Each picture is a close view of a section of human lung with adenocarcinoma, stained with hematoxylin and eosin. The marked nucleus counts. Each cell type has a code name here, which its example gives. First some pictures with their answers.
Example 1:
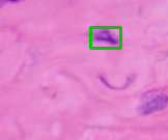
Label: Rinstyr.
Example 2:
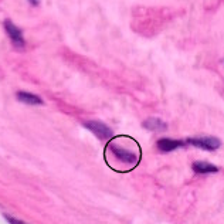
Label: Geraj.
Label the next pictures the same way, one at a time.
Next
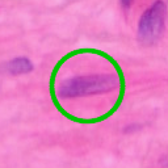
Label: Geraj.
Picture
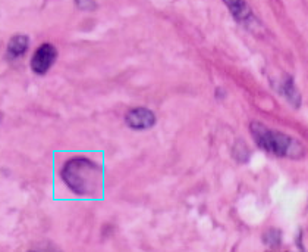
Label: Rinstyr.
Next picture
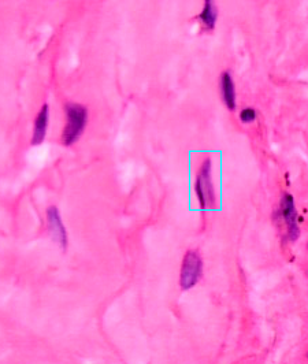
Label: Rinstyr.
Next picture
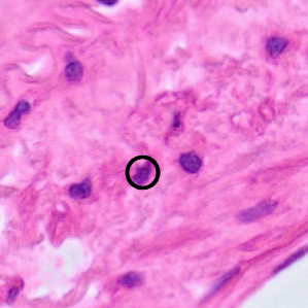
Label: Geraj.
